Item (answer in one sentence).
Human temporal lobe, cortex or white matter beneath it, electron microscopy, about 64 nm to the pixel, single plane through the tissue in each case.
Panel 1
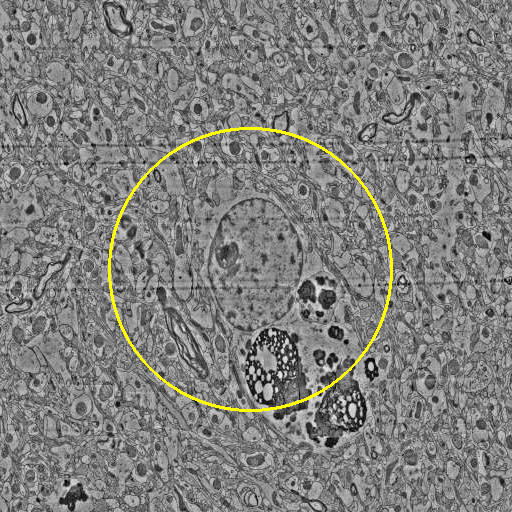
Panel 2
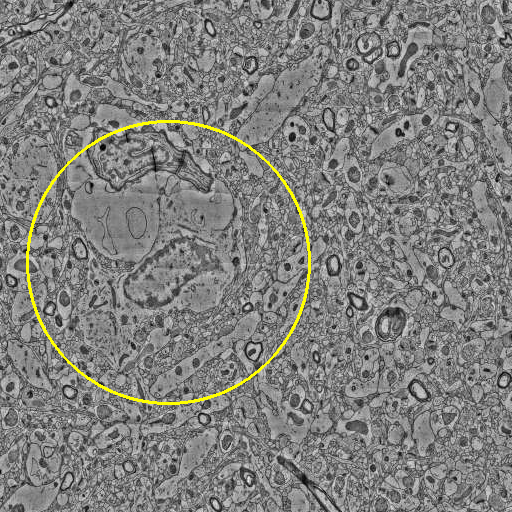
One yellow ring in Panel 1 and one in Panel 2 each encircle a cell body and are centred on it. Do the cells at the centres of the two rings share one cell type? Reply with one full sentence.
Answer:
No, Panel 1 and Panel 2 show cells of two types at the centres of their rings.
